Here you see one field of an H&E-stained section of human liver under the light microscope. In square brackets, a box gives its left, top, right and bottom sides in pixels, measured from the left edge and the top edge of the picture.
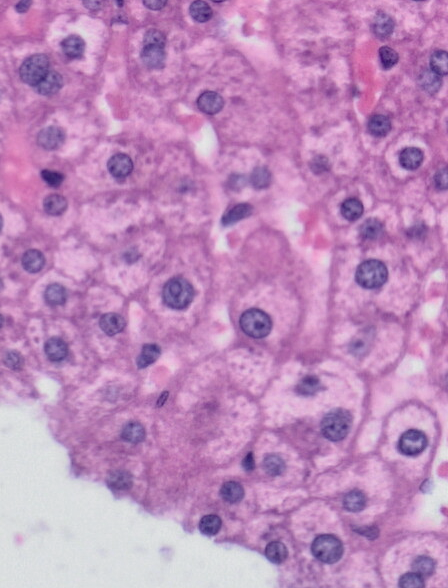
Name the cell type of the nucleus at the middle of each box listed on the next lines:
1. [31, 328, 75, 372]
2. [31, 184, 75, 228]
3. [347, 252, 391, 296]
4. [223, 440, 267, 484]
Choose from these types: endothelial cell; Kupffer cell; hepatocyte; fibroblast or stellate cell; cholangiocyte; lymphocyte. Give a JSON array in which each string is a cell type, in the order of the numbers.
["hepatocyte", "hepatocyte", "hepatocyte", "fibroblast or stellate cell"]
